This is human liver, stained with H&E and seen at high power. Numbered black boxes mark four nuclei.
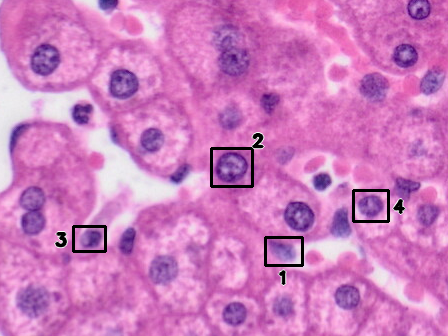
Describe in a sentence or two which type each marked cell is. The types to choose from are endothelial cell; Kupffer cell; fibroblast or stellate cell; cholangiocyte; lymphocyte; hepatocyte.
Cell 1 is an endothelial cell, cell 2 is a hepatocyte, cell 3 is a Kupffer cell and cell 4 is a hepatocyte.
